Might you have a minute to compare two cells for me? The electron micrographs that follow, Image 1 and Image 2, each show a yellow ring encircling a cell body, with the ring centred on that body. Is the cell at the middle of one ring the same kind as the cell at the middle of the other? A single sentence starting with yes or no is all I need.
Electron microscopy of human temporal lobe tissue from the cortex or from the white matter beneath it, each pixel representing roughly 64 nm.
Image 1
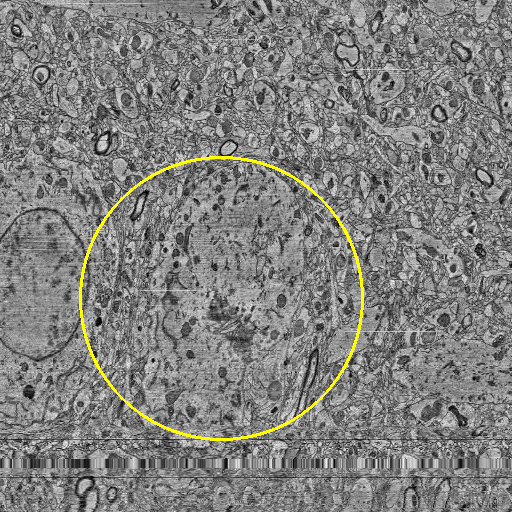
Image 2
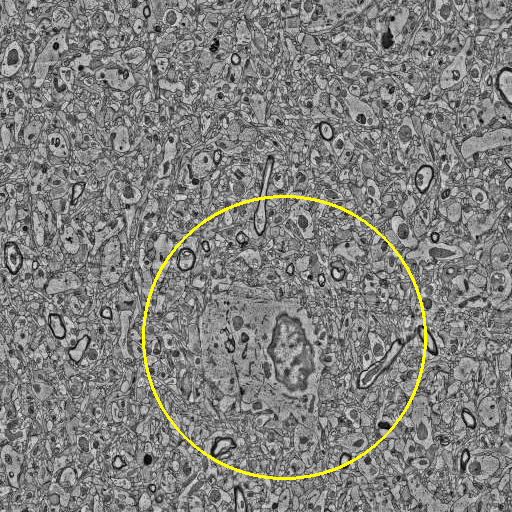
Yes, the cells in the middle of the two rings are of one shared kind.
